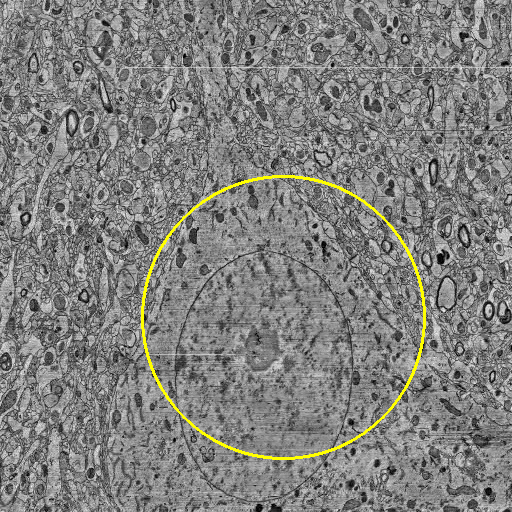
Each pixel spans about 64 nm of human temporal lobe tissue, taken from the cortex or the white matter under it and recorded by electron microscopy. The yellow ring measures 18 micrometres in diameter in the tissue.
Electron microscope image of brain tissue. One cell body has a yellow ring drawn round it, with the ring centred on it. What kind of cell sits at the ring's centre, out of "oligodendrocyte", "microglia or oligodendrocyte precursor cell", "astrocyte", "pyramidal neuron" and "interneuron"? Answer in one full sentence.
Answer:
It is a pyramidal neuron whose cell body sits at the centre of the yellow ring.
